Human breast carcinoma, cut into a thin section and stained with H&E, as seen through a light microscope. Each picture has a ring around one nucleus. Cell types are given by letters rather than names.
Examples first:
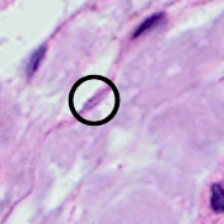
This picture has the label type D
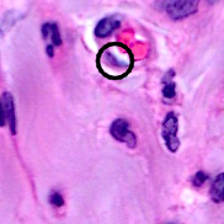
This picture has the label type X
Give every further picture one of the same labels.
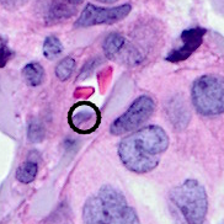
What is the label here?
type X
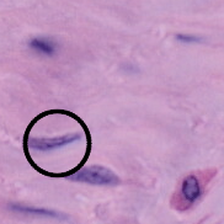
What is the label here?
type D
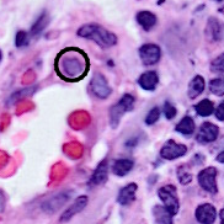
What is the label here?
type X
